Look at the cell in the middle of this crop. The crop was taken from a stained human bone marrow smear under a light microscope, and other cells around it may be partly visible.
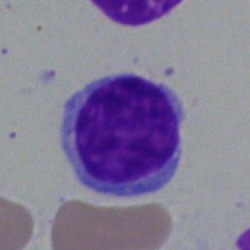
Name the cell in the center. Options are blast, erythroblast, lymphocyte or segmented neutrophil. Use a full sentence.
In this crop, the cell at the very middle is a lymphocyte.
